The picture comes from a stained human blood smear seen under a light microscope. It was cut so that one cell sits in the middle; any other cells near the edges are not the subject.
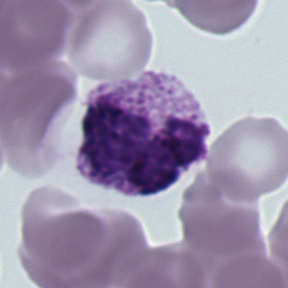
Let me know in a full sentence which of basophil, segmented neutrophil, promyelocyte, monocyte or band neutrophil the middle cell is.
At the center of the crop sits a basophil.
